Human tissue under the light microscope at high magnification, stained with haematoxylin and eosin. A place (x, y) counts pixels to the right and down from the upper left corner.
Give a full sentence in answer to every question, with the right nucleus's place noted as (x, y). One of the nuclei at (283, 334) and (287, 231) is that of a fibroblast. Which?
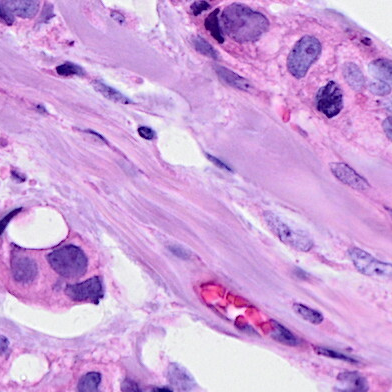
The nucleus that sits at (287, 231) is the nucleus of a fibroblast.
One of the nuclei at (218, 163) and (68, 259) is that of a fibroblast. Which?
The nucleus at (218, 163) is contained in a fibroblast.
